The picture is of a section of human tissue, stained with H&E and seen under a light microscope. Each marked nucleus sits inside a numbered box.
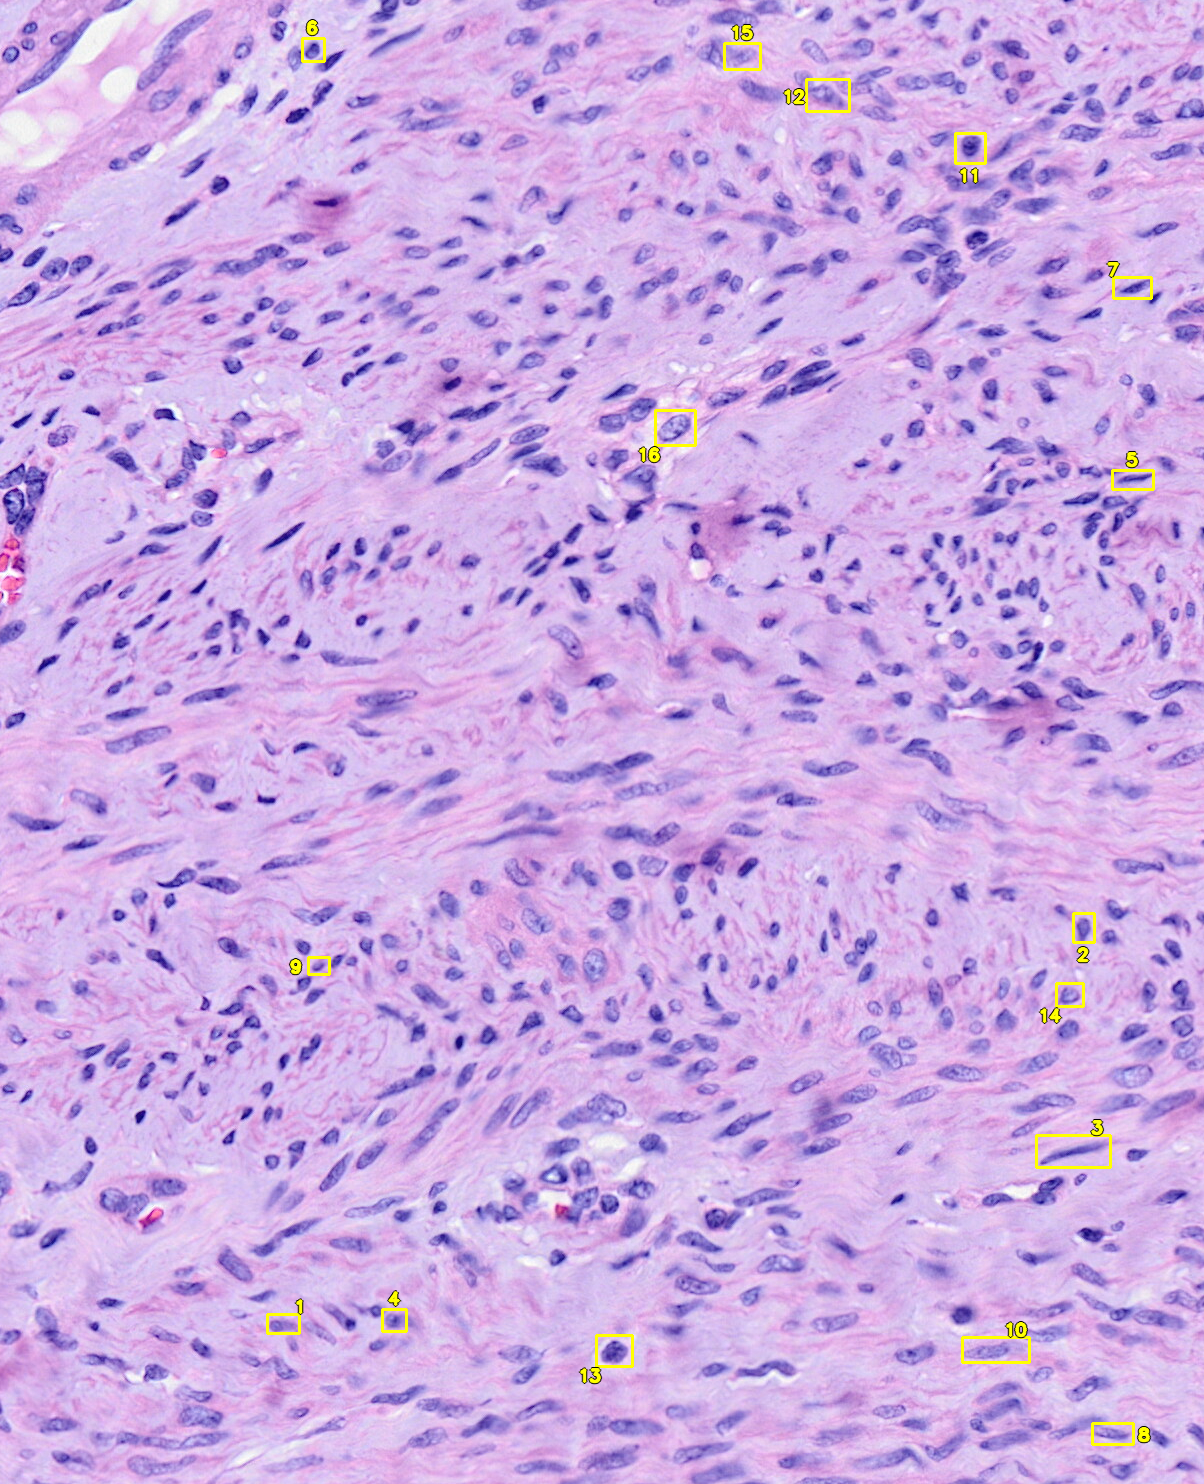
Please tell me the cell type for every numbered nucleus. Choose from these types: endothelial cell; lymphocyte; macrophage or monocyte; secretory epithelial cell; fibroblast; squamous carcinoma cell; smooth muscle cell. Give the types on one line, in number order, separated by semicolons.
smooth muscle cell; smooth muscle cell; fibroblast; smooth muscle cell; fibroblast; fibroblast; fibroblast; smooth muscle cell; smooth muscle cell; smooth muscle cell; lymphocyte; smooth muscle cell; lymphocyte; smooth muscle cell; smooth muscle cell; endothelial cell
